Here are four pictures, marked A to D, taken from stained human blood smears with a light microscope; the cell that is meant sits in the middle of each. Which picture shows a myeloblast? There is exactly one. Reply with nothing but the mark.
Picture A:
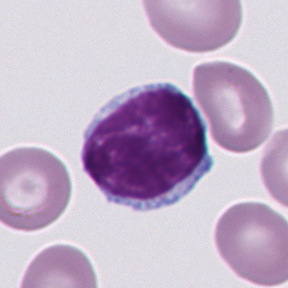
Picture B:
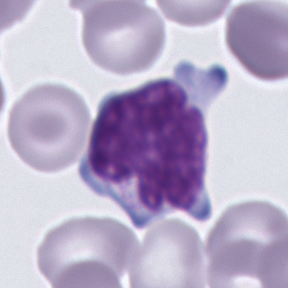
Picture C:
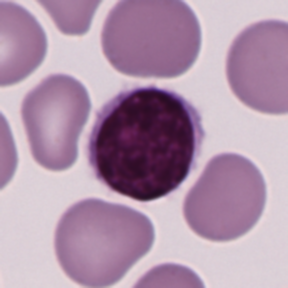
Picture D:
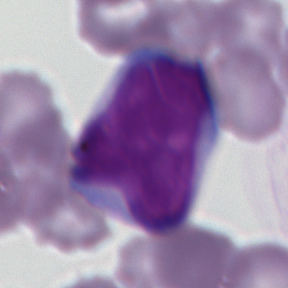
D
